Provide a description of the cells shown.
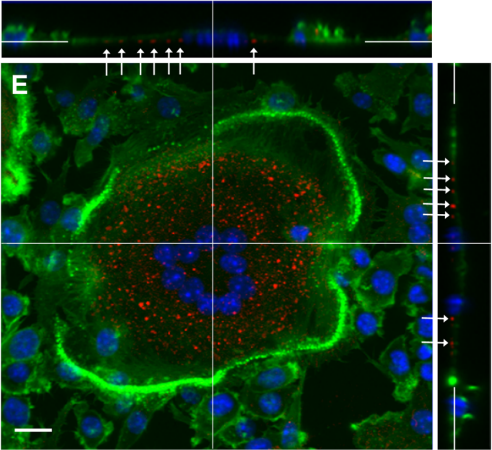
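A single giant, flat, spread osteoclast lies among many small mononuclear cells. Its numerous blue nuclei are clustered in the middle of the cell, while the small neighbouring cells each show one nucleus. The side views show that the cell is very thin and that the red dots lie at its underside, against the surface it rests on, within the area bounded by the green ring.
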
